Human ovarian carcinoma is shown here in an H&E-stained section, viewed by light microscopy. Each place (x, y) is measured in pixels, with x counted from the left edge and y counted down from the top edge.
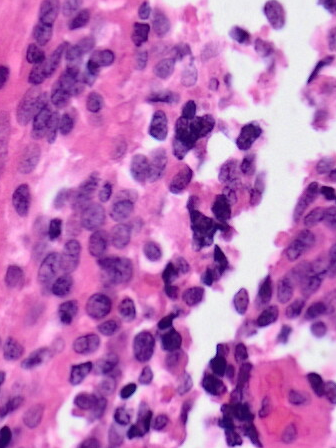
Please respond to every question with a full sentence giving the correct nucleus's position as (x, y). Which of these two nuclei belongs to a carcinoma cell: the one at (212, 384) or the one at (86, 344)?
The nucleus of a carcinoma cell is the one at (212, 384).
